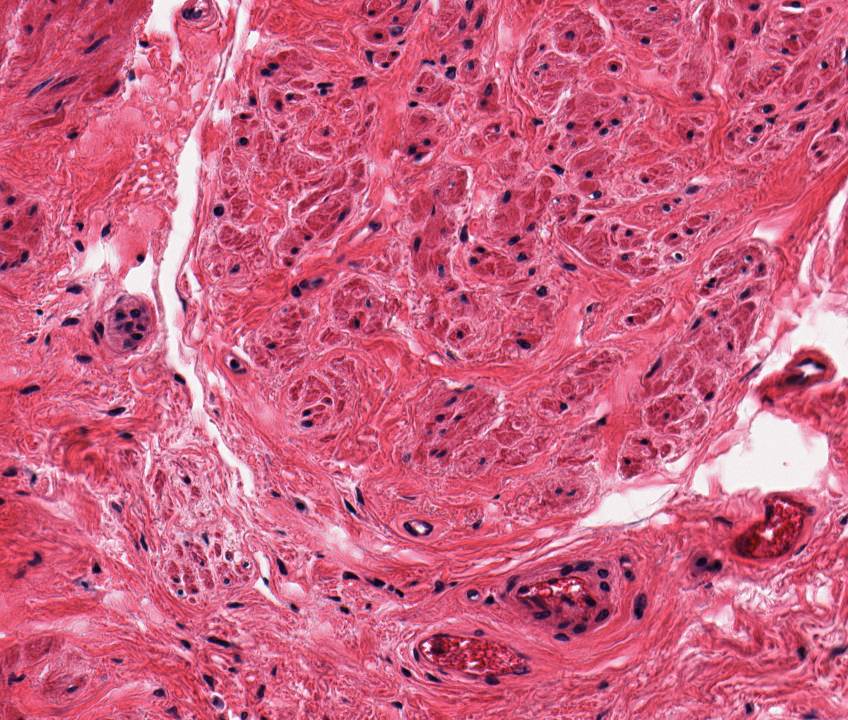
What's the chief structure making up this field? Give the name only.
fibromuscular stroma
